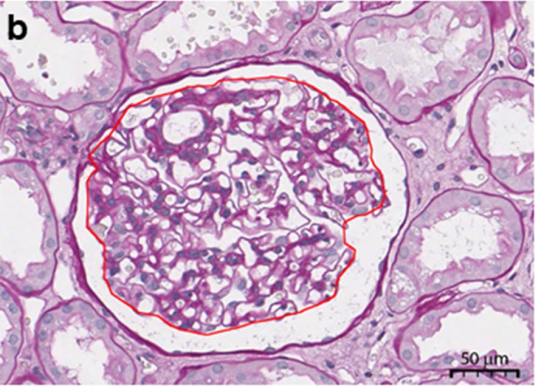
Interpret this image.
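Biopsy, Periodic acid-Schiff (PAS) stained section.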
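This is a glomerulus in renal cortex, its capillary tuft traced by a red line. The tuft is a lobulated mass of looping capillaries whose walls and matrix stain deep magenta, with scattered dark nuclei between the loops. A clear crescent of space separates the tuft from the thin magenta-lined capsule around it. Around the glomerulus lie cross-sections of tubules, lined by cuboidal epithelial cells with pale pink cytoplasm and round nuclei, each tubule bounded by a crisp magenta basement membrane, with narrow interstitium between them.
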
